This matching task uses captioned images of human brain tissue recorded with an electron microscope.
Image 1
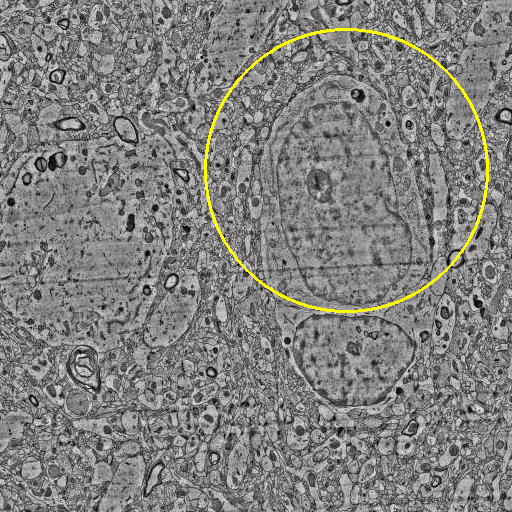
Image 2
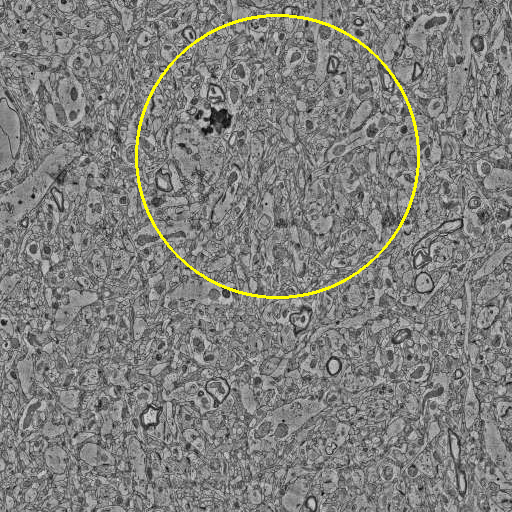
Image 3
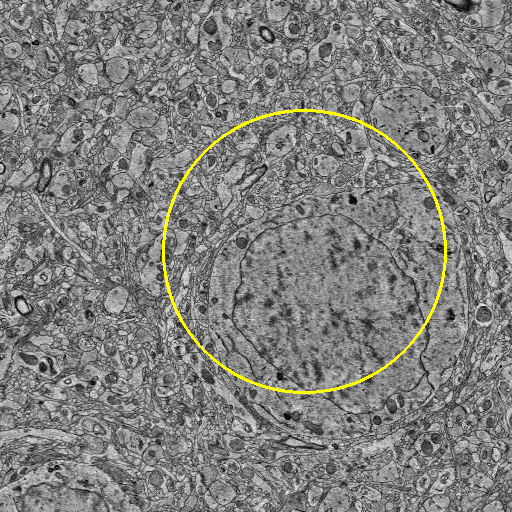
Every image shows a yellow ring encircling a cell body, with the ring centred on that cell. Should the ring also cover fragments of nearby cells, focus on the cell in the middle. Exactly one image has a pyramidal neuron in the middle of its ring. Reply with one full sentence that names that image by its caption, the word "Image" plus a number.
Image 3 shows the cell in question at the centre of its yellow ring.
